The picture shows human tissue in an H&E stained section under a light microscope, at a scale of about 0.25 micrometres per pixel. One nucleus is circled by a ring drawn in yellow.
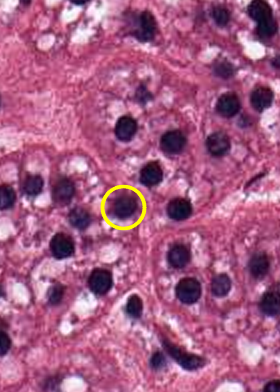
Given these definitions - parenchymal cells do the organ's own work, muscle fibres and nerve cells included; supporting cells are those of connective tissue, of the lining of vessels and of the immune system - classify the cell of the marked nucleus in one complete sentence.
To a parenchymal cell, namely an adrenal cortical cell, belongs the marked nucleus.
